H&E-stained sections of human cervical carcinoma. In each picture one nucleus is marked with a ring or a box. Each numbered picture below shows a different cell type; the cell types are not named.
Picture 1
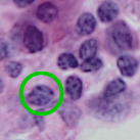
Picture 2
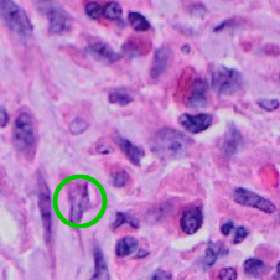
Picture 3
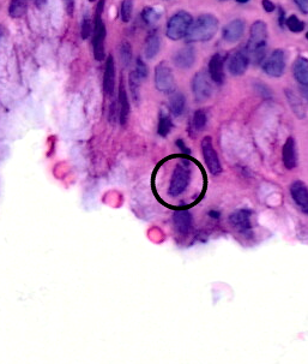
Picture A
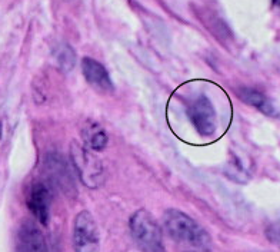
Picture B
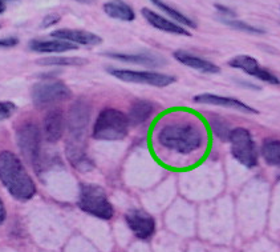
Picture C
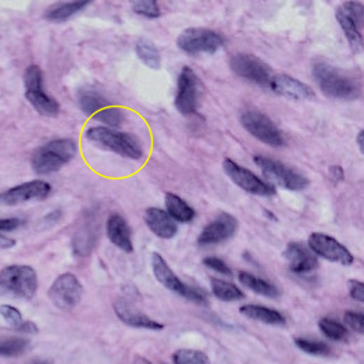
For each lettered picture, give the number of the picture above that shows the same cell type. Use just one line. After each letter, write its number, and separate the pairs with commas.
A 2, B 3, C 2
